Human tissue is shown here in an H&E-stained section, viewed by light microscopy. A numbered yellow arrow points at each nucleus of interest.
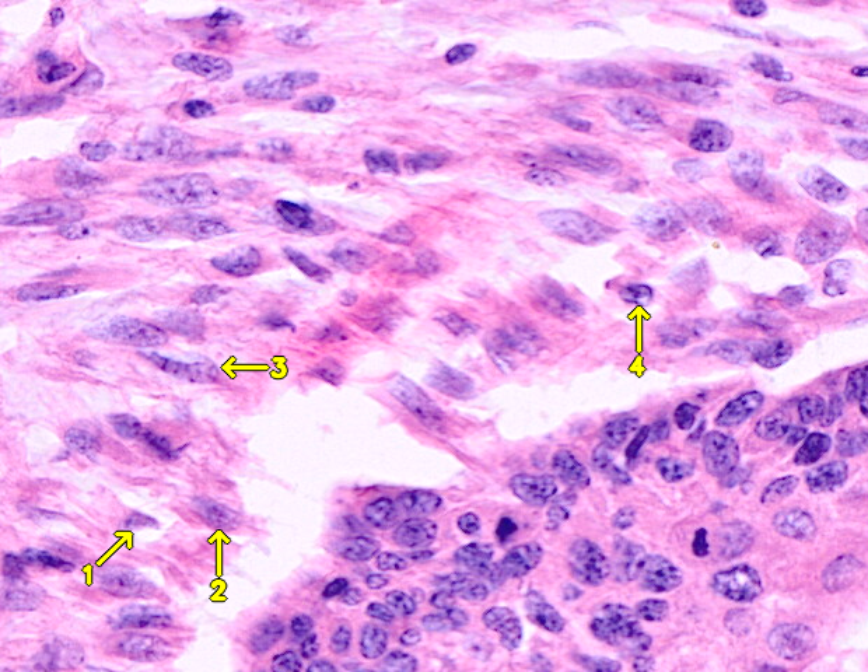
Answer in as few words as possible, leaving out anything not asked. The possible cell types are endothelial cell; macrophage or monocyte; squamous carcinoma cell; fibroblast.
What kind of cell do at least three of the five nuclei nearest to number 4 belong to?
fibroblast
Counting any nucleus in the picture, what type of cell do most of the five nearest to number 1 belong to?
fibroblast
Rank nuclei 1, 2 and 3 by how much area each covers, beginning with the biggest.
3, 2, 1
